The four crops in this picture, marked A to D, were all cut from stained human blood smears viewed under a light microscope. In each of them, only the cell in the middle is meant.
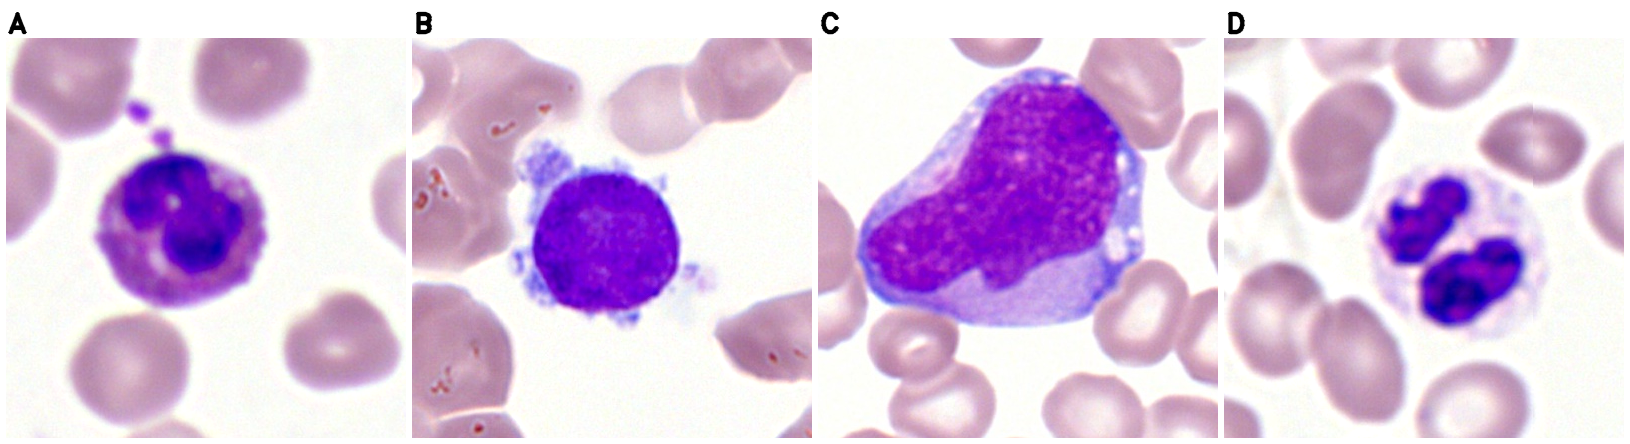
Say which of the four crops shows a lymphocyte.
B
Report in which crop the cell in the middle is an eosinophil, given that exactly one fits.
A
